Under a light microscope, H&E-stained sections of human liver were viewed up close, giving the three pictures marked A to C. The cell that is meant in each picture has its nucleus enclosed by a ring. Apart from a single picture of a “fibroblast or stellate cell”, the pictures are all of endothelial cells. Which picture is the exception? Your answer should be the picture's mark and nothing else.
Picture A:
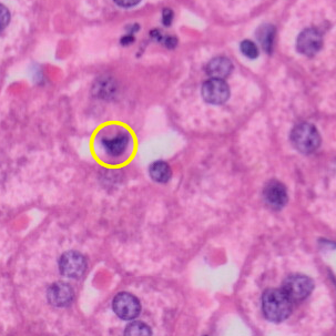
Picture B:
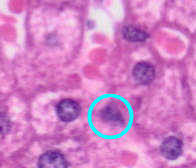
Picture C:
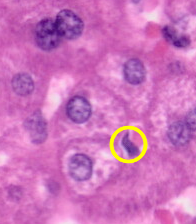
A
